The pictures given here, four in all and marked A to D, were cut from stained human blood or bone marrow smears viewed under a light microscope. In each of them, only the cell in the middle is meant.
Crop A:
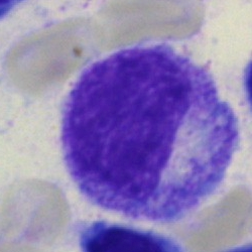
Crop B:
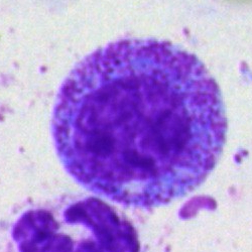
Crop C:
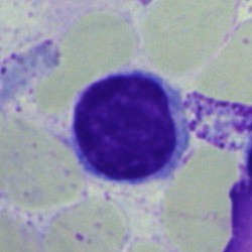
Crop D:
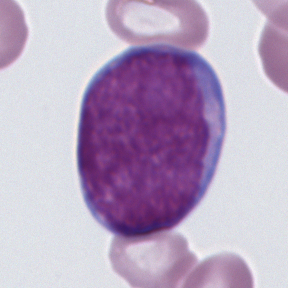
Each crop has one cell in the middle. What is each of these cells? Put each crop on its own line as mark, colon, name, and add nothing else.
A: myelocyte
B: myelocyte
C: lymphocyte
D: blast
